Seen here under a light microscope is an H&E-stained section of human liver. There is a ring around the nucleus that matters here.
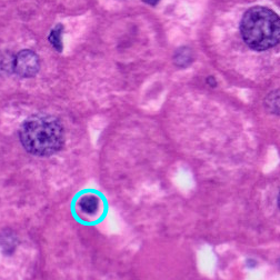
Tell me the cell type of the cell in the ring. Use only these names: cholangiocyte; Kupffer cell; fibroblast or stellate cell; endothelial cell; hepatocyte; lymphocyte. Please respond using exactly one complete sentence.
Labelled by cell type, the cell in the ring is a lymphocyte.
